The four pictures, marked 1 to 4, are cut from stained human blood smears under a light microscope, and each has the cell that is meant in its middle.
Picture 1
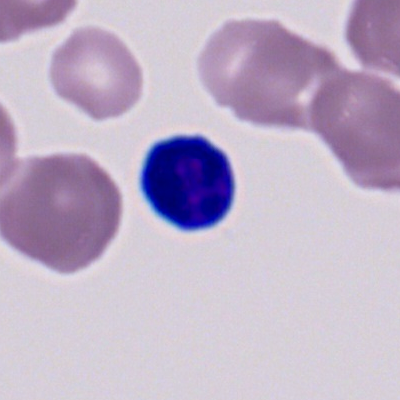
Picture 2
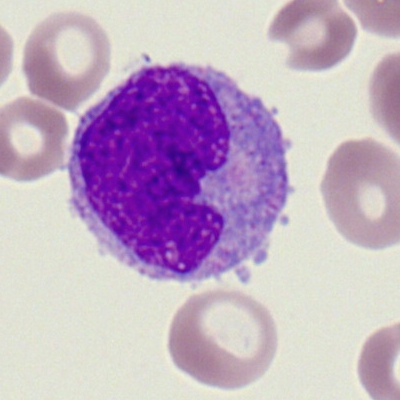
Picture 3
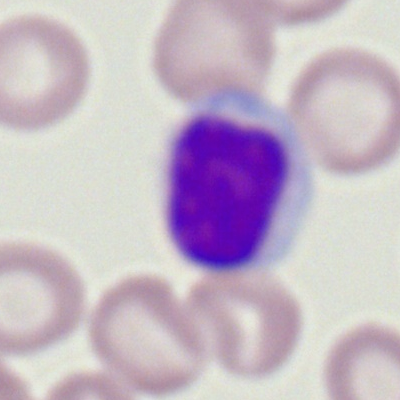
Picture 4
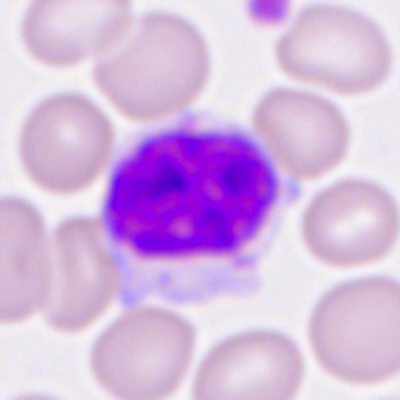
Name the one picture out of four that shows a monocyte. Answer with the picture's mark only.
2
